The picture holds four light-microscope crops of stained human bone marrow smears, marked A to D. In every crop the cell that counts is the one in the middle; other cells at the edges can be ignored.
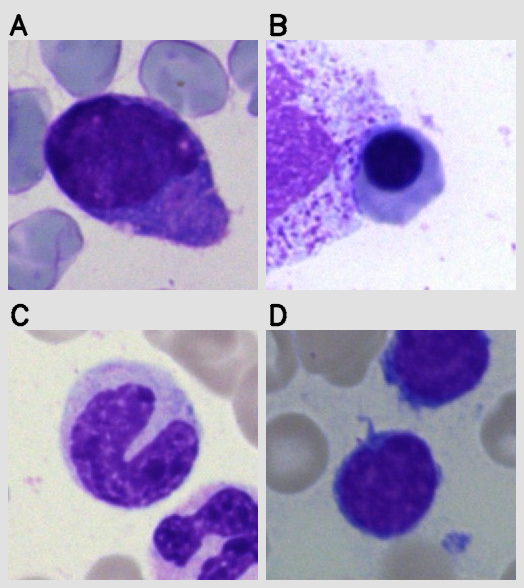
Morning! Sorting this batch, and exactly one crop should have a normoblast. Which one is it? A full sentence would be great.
The cell identified as a normoblast is the one in crop B.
